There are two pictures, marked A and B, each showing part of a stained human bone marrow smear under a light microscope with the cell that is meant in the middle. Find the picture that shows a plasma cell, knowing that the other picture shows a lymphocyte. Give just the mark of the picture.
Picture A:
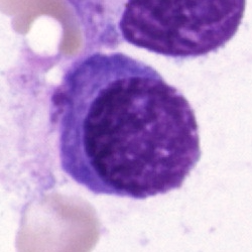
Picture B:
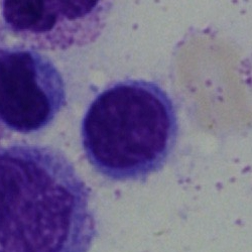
A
